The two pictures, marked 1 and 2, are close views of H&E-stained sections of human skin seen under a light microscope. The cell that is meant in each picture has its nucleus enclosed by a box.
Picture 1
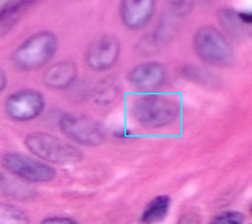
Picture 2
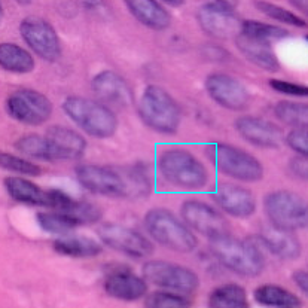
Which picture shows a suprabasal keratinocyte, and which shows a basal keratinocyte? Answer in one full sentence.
Picture 1 shows a basal keratinocyte and picture 2 shows a suprabasal keratinocyte.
